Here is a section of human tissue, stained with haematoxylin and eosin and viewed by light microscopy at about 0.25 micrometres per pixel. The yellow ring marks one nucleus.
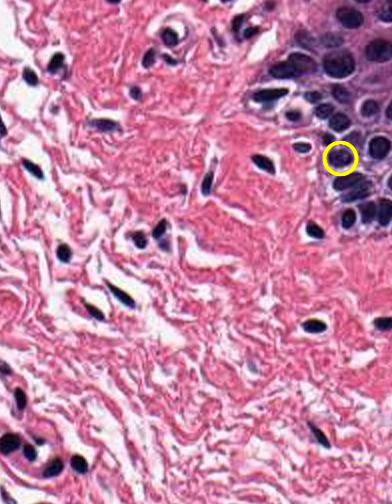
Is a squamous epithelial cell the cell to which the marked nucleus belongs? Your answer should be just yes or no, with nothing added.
yes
